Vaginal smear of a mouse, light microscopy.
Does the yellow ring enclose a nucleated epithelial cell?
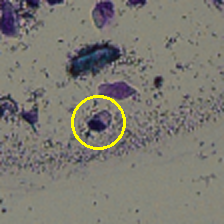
Yes. The ring encloses a nucleated epithelial cell.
